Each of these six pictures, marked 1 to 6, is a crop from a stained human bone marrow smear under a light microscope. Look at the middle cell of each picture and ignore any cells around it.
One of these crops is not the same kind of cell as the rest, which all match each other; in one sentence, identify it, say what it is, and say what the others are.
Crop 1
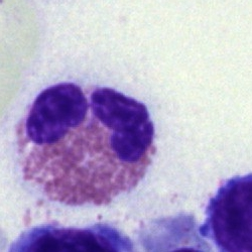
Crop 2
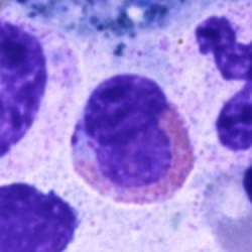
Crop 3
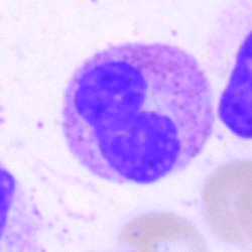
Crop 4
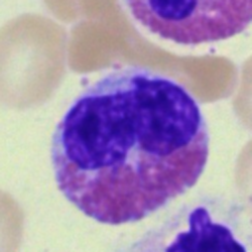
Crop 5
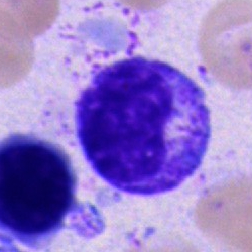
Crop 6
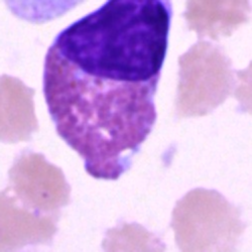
Excluding crop 5, which is a myelocyte, the crops all show eosinophils.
